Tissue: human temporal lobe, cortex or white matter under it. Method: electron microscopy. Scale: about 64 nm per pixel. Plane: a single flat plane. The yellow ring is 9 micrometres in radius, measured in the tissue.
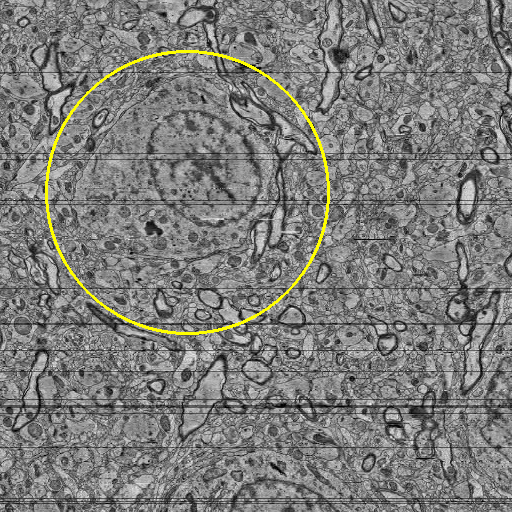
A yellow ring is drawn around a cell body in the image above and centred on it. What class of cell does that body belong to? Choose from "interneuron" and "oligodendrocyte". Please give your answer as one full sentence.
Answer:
The yellow ring above is centred on the cell body of an interneuron.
